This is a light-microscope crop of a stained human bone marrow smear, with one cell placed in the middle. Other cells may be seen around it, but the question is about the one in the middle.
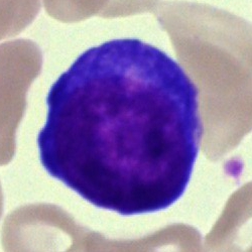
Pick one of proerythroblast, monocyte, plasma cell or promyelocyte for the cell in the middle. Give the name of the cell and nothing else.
proerythroblast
